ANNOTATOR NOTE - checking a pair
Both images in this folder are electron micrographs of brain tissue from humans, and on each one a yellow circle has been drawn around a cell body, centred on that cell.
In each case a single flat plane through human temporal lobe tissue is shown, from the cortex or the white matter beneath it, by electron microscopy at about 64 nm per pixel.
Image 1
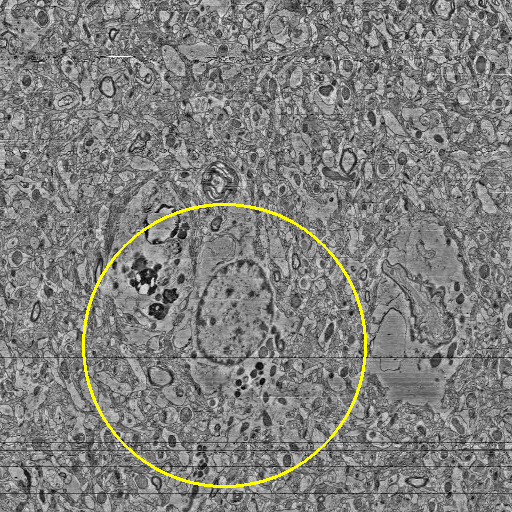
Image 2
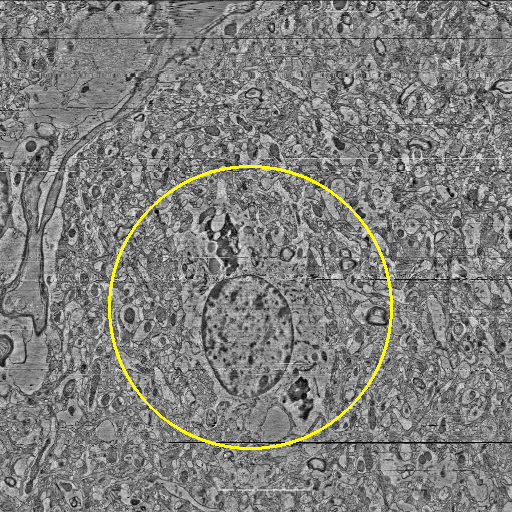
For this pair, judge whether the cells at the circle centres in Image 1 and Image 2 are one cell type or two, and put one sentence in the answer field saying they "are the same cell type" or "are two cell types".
For this pair, the cells at the circle centres in Images 1 and 2 are the same cell type.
